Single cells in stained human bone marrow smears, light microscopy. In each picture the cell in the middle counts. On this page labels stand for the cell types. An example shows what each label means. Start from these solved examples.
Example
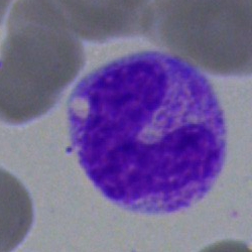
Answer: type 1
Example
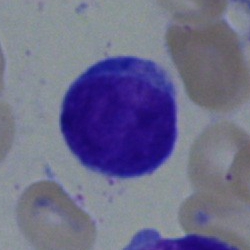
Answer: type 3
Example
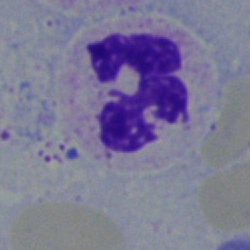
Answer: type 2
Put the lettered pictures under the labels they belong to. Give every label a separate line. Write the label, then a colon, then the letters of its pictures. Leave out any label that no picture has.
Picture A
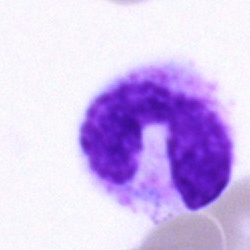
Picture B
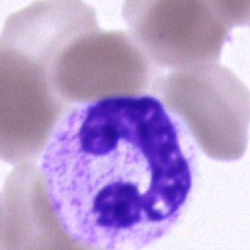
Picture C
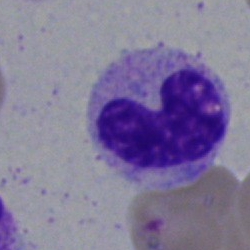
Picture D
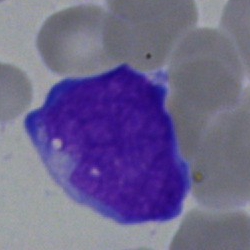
type 1: A, C
type 3: D
type 2: B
